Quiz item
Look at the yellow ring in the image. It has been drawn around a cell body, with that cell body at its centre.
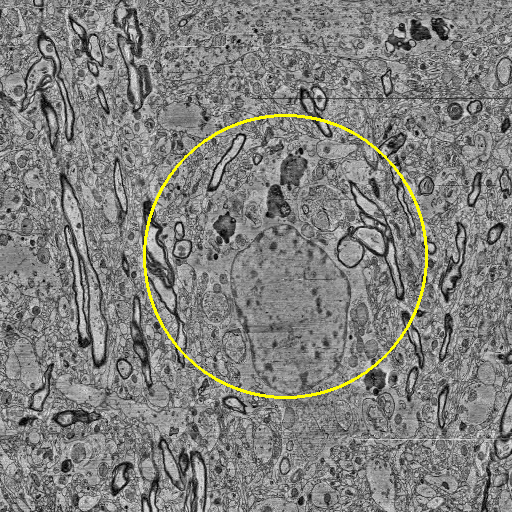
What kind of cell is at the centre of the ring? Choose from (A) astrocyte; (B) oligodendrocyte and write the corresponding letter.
A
